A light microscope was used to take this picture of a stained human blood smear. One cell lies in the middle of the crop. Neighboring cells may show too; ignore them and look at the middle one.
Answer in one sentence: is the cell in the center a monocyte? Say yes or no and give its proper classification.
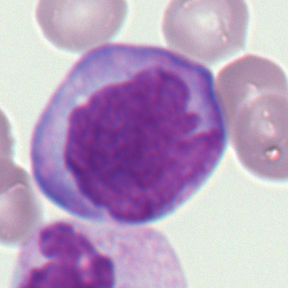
No, the cell centered in the crop is an atypical promyelocyte, not a monocyte.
